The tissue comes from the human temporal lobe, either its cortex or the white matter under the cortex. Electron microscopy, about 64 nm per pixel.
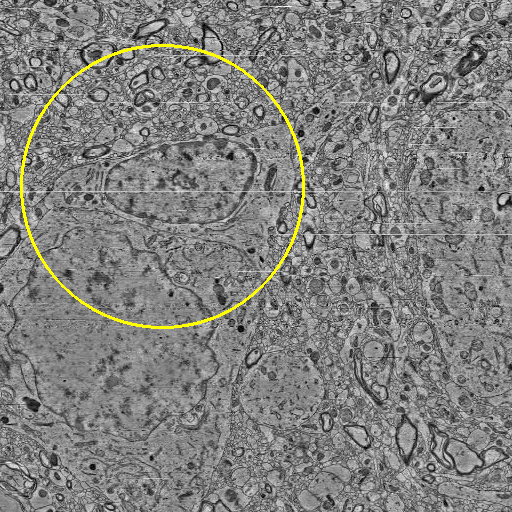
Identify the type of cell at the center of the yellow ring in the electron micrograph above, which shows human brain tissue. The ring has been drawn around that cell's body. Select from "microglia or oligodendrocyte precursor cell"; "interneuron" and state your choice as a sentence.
The yellow ring is centered on the body of a microglial cell or oligodendrocyte precursor cell.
